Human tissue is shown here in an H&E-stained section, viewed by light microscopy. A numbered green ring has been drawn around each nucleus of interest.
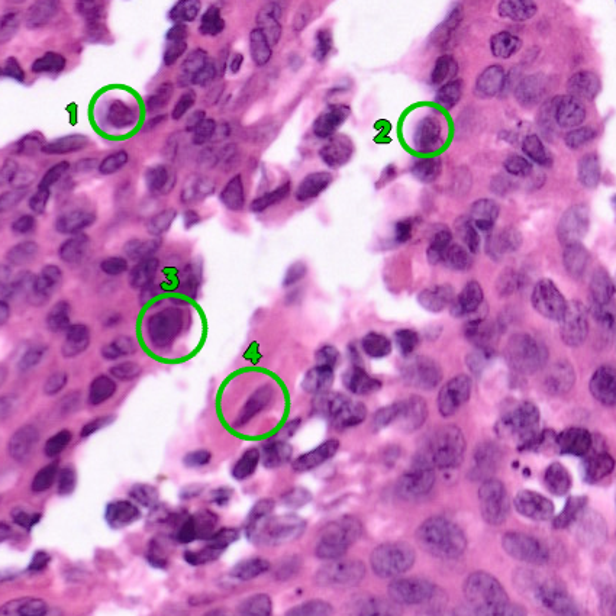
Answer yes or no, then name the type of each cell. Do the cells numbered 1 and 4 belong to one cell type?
No, cell 1 should be called a carcinoma cell, and cell 4 should be called an endothelial cell.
